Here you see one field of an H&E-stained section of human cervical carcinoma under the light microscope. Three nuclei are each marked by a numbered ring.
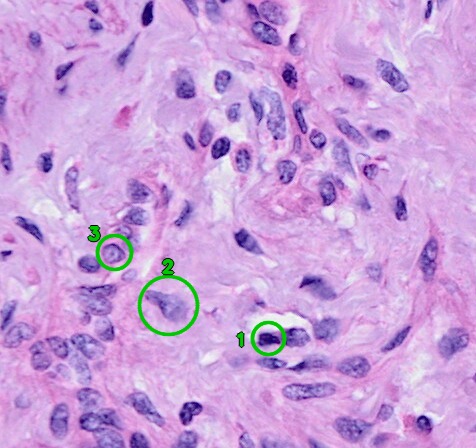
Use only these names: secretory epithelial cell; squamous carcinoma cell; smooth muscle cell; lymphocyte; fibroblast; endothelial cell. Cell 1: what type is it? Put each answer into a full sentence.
The one labeled 1 is a lymphocyte, to put it simply.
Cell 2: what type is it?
Of the numbered cells, the one labelled 2 is a fibroblast.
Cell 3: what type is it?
The correct answer for cell 3 is an endothelial cell.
